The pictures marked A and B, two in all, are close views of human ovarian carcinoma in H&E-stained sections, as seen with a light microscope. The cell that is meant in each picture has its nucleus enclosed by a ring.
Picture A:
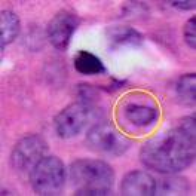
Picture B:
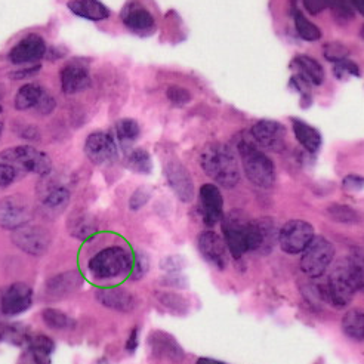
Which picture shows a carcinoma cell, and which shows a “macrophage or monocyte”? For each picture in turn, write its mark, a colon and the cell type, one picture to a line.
A: macrophage or monocyte
B: carcinoma cell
